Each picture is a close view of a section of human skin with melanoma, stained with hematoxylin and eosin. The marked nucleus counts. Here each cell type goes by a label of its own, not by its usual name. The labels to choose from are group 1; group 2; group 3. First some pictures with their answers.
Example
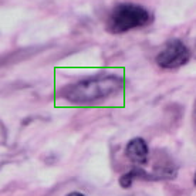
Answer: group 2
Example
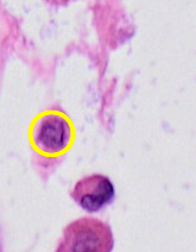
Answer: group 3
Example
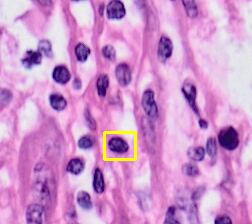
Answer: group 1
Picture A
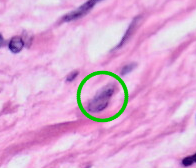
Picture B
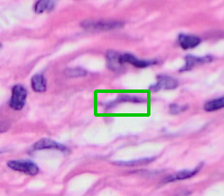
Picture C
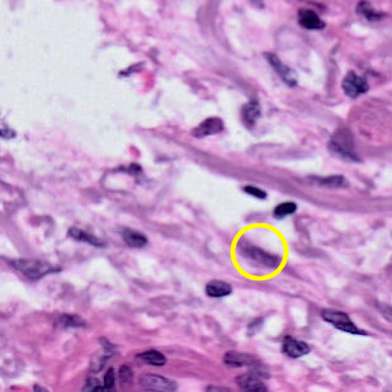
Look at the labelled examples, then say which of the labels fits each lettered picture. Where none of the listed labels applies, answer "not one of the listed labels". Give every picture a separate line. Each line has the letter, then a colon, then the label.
A: group 3
B: group 2
C: group 2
